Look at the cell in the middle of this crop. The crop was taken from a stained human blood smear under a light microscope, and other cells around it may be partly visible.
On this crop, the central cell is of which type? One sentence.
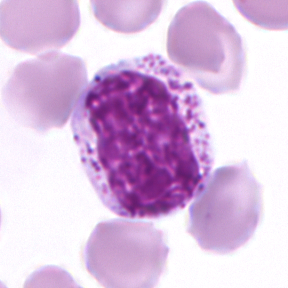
The crop shows a metamyelocyte in its centre.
